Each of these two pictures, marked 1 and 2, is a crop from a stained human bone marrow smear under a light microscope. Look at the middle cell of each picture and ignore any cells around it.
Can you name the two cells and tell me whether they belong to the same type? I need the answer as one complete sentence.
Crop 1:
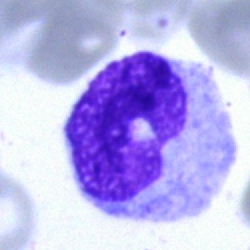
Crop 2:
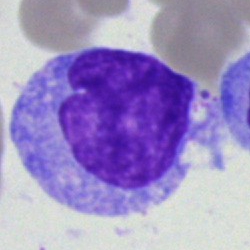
Yes, both crops in this set show monocytes.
